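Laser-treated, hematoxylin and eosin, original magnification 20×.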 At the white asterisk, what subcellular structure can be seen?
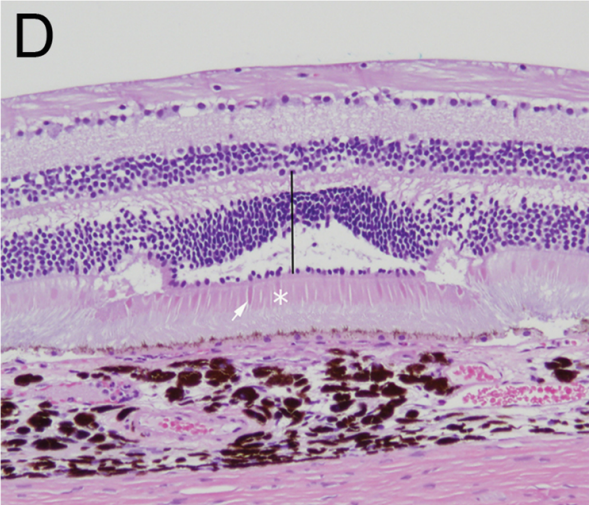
Photoreceptor inner segments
